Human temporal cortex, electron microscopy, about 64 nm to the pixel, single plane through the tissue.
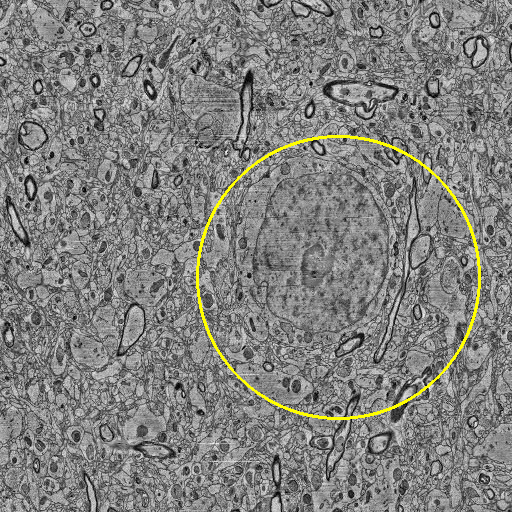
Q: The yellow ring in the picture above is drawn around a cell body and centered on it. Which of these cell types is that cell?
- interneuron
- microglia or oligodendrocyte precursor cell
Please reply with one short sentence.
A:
The cell body at the ring's center belongs to an interneuron.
